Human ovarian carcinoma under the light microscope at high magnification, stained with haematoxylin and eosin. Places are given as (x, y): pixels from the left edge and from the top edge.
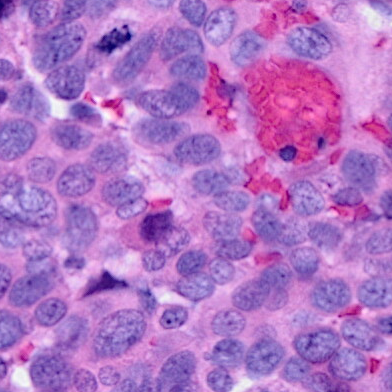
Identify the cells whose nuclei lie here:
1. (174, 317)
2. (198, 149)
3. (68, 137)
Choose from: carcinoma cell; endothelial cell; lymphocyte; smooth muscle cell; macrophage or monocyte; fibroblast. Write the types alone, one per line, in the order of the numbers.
macrophage or monocyte
carcinoma cell
carcinoma cell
